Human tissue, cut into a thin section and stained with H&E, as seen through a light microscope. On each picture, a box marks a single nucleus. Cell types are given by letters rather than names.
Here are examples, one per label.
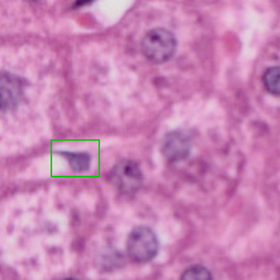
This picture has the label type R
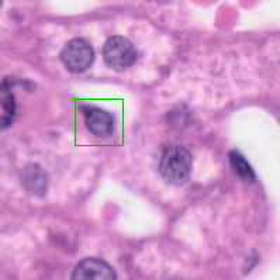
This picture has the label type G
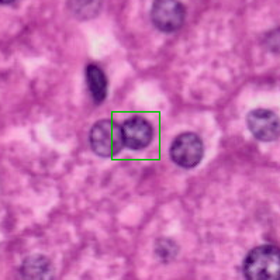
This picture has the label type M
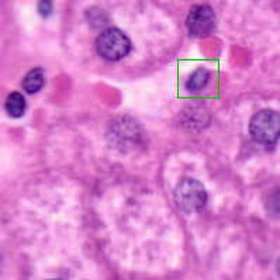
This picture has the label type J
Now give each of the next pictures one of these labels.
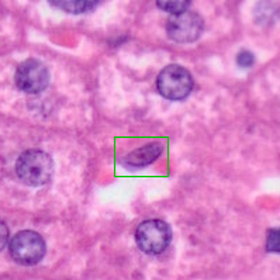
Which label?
type G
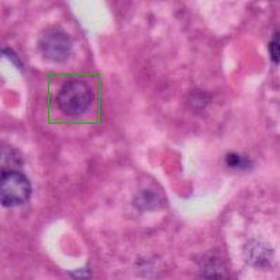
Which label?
type M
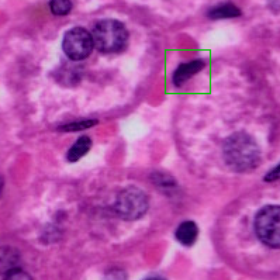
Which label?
type R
